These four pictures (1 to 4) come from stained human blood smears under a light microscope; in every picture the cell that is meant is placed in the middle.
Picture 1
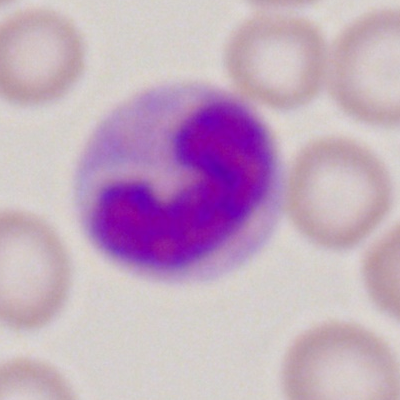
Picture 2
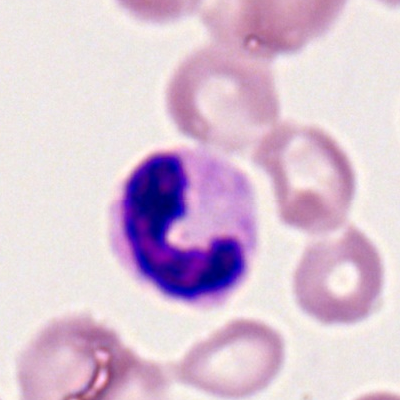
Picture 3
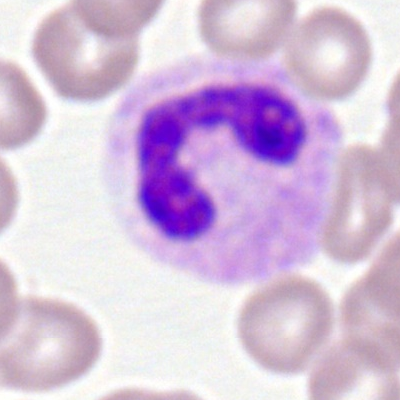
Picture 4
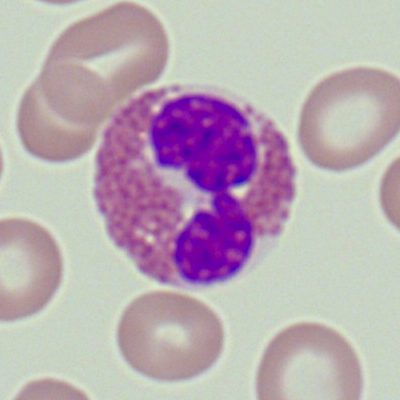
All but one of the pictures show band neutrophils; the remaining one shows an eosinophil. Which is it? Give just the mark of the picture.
4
